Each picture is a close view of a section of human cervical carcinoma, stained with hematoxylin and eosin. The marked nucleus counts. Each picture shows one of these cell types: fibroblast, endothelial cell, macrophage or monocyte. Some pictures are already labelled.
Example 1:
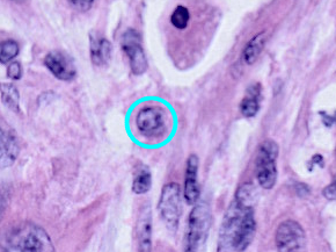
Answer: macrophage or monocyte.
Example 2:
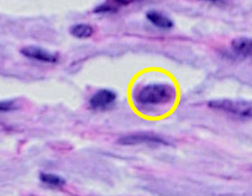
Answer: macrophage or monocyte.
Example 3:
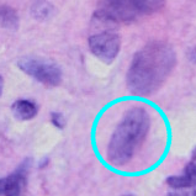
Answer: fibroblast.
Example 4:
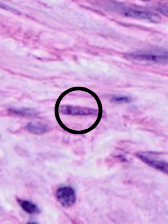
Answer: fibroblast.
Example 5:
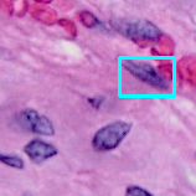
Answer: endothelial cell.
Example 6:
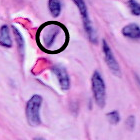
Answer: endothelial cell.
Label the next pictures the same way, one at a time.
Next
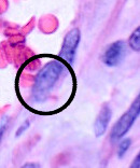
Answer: endothelial cell.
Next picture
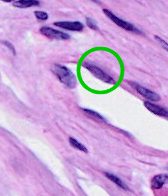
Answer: endothelial cell.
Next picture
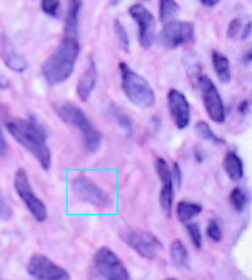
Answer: fibroblast.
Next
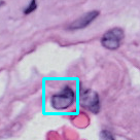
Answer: endothelial cell.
